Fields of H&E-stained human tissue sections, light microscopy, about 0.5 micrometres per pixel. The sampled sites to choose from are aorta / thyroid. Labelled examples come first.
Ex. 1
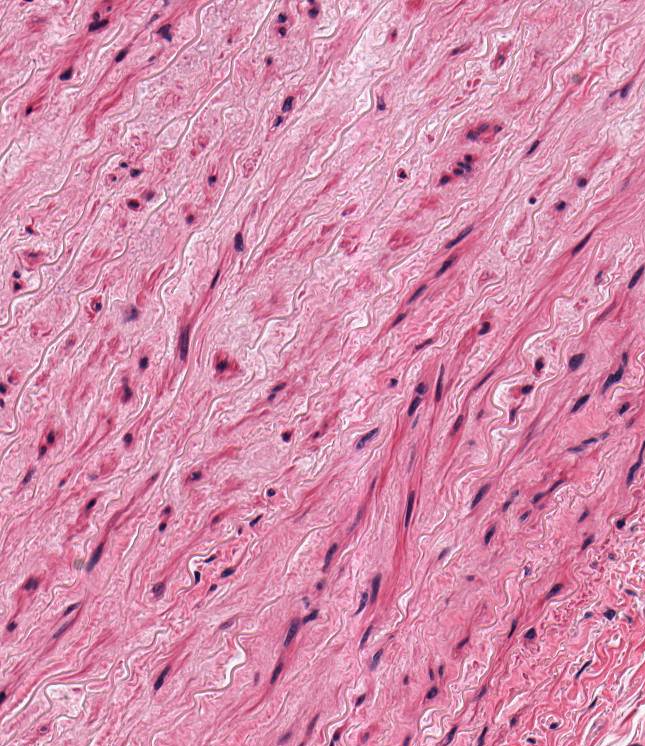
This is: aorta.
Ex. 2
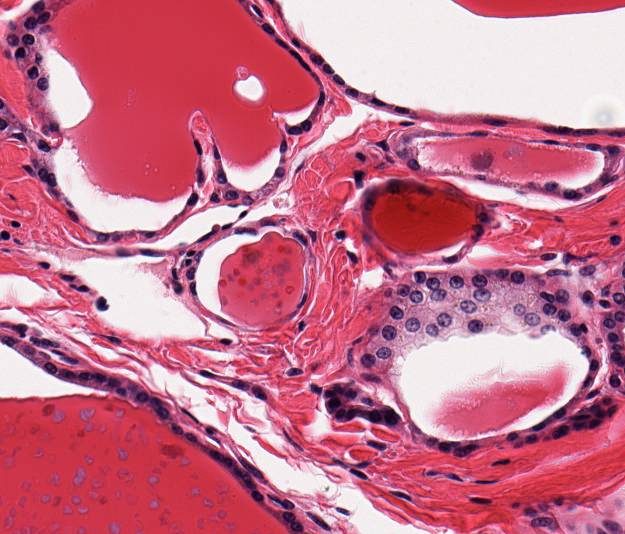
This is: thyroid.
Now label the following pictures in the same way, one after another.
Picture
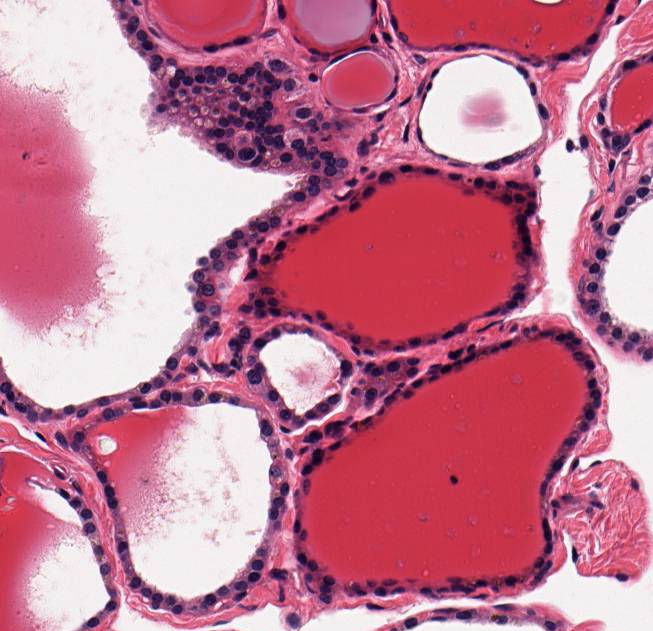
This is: thyroid.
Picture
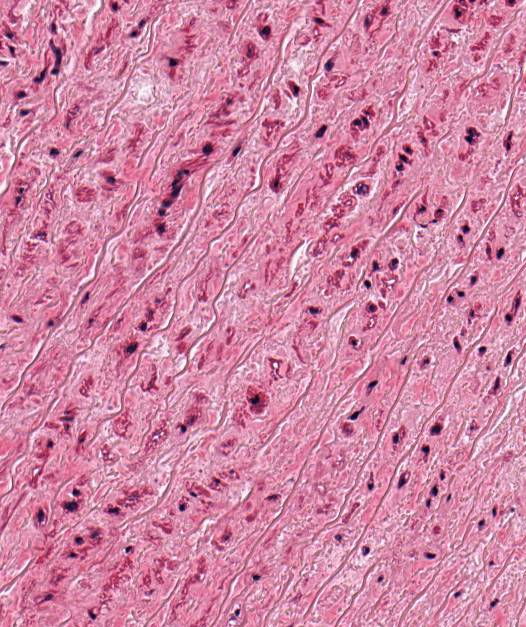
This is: aorta.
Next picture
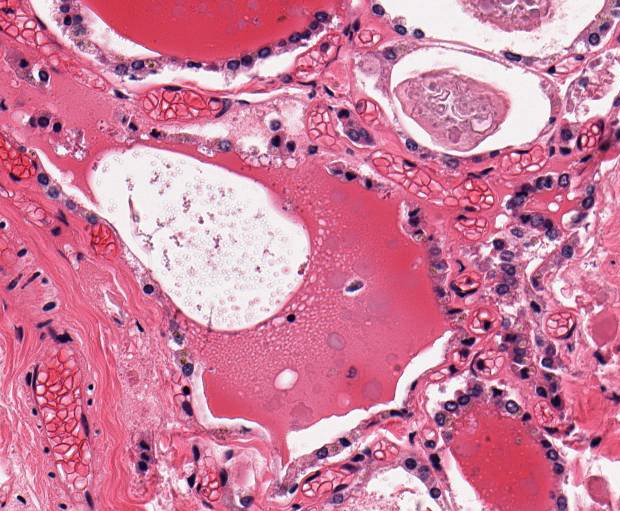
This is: thyroid.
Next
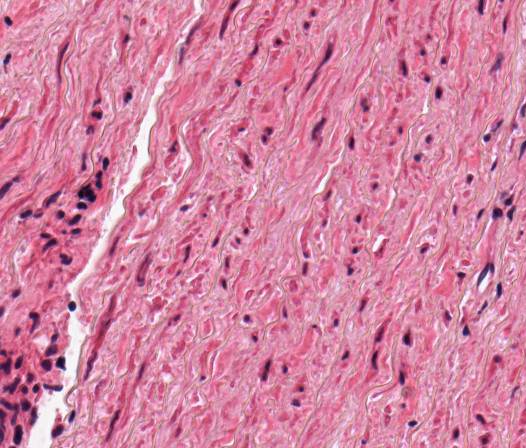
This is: aorta.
